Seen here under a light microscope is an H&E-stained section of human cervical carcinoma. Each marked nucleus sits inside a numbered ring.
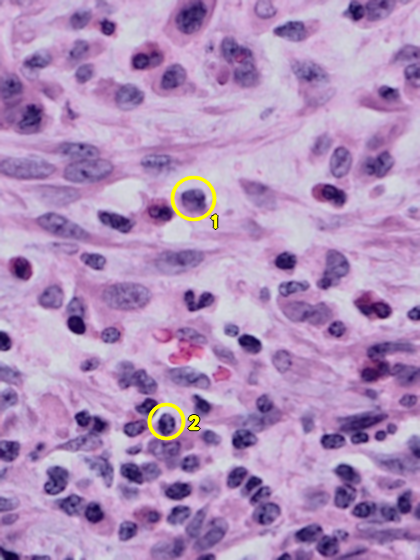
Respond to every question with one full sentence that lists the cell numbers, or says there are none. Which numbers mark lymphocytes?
Across all the numbered cells, only number 2 is a lymphocyte.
